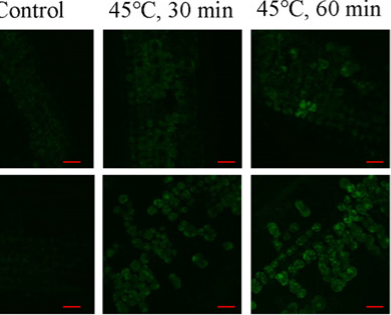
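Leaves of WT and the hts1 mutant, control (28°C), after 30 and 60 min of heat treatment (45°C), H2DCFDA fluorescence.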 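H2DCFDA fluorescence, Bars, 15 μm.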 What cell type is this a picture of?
mesophyll cells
